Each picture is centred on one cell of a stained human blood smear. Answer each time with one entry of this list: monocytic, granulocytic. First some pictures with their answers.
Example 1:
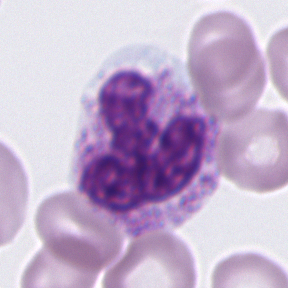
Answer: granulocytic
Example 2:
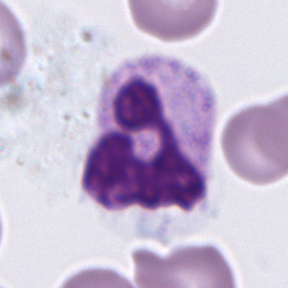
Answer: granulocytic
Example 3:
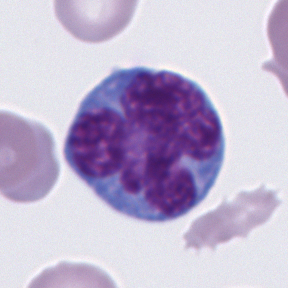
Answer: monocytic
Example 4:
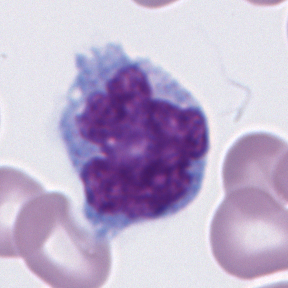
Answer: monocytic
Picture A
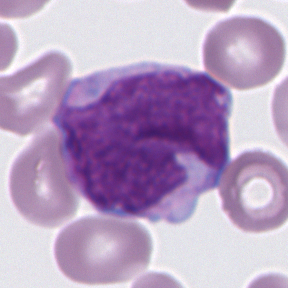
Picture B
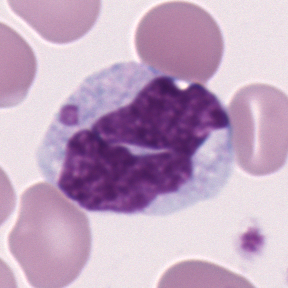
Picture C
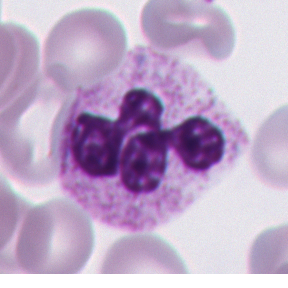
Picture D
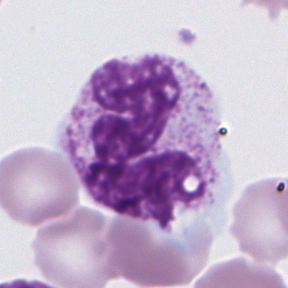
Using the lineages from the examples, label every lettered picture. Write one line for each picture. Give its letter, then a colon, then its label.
A: granulocytic
B: monocytic
C: granulocytic
D: granulocytic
